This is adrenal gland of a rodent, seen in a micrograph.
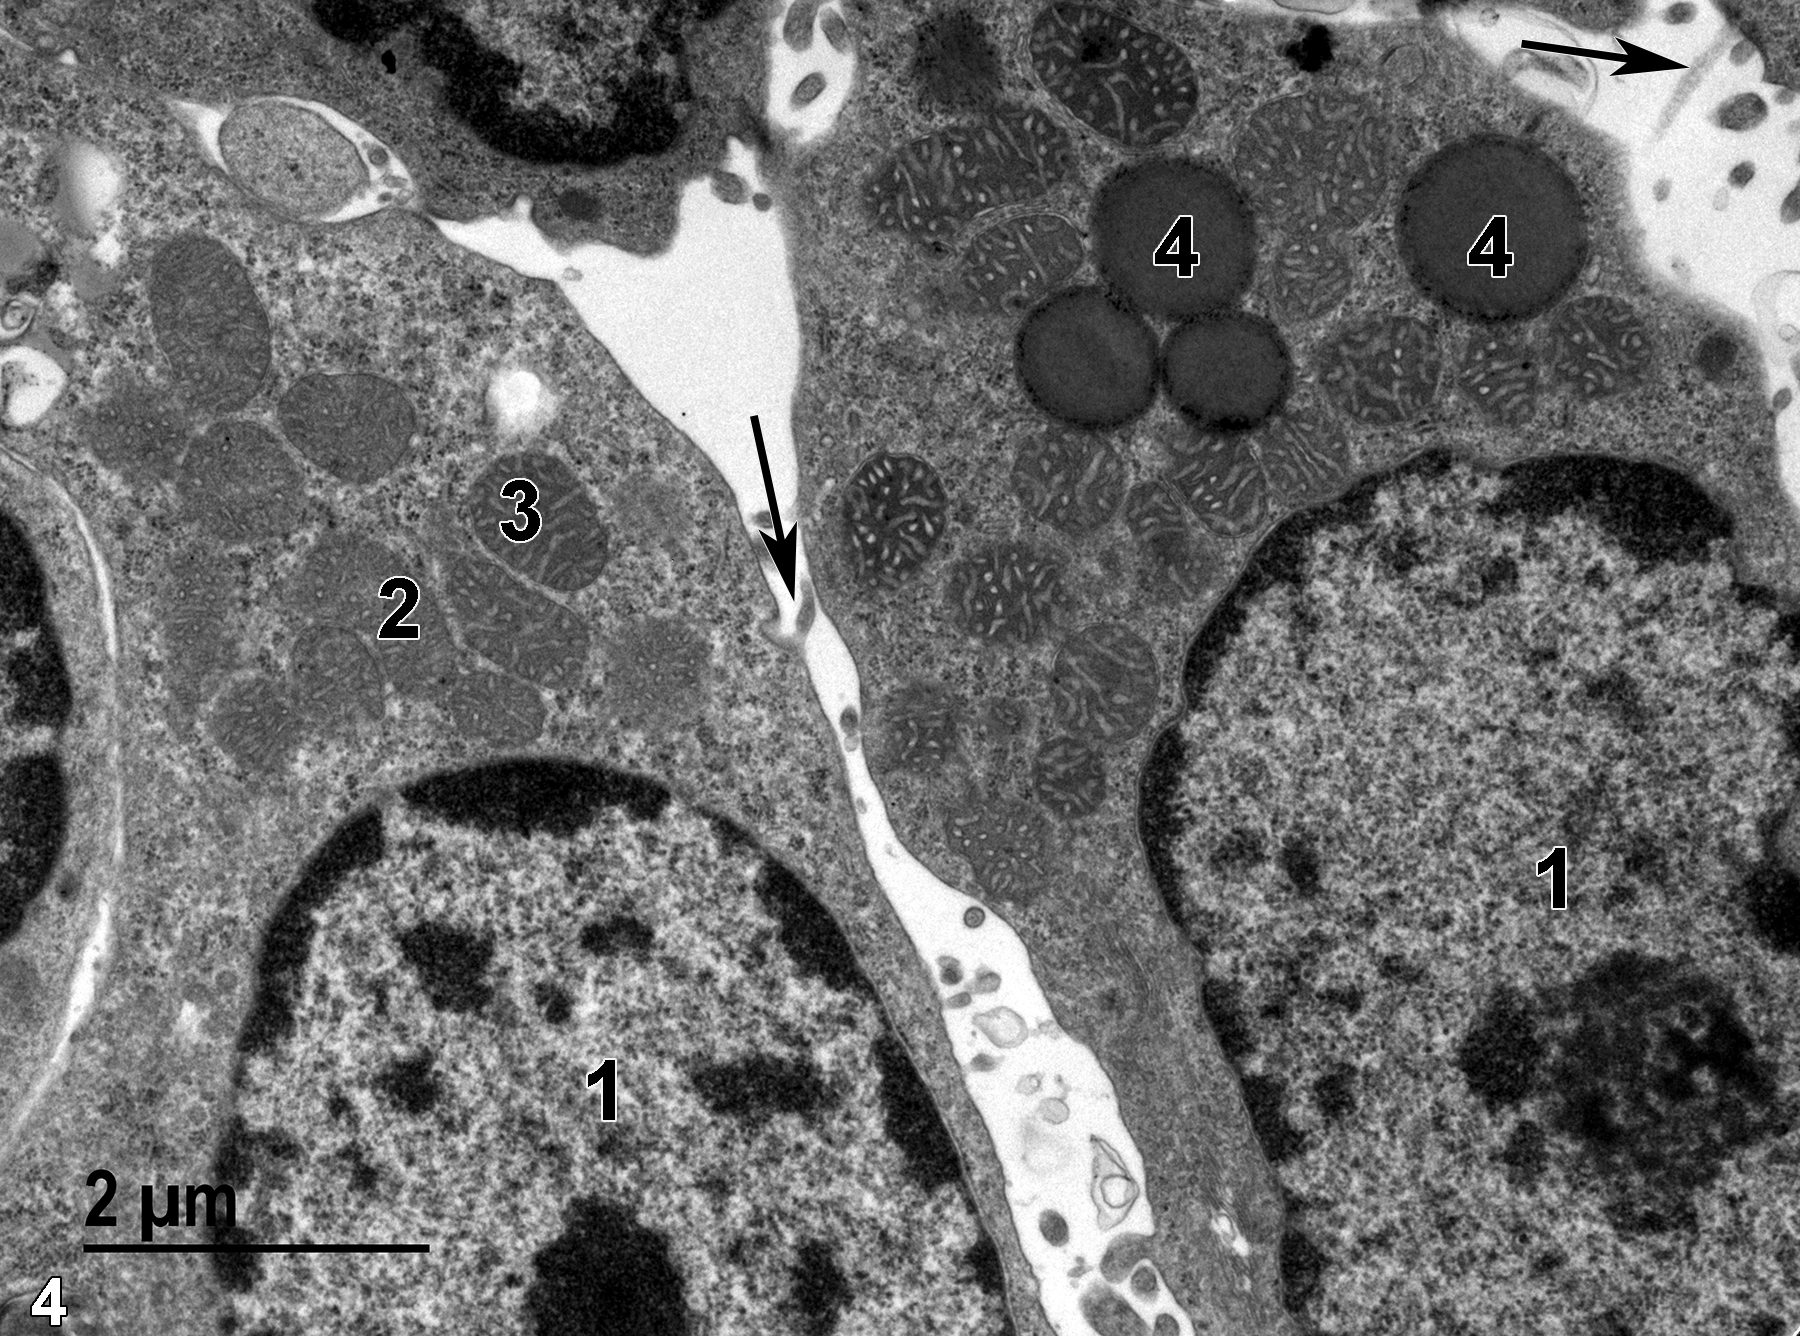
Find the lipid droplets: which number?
It's 4.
